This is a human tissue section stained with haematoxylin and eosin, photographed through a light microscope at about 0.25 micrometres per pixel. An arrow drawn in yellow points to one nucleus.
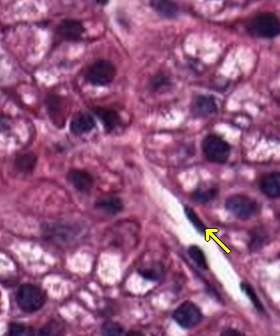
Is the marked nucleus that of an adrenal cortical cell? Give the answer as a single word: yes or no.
no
